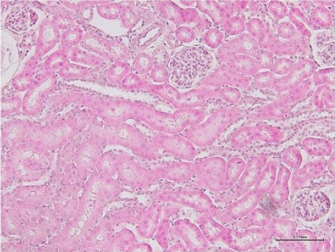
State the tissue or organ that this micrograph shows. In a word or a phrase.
Renal tissues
